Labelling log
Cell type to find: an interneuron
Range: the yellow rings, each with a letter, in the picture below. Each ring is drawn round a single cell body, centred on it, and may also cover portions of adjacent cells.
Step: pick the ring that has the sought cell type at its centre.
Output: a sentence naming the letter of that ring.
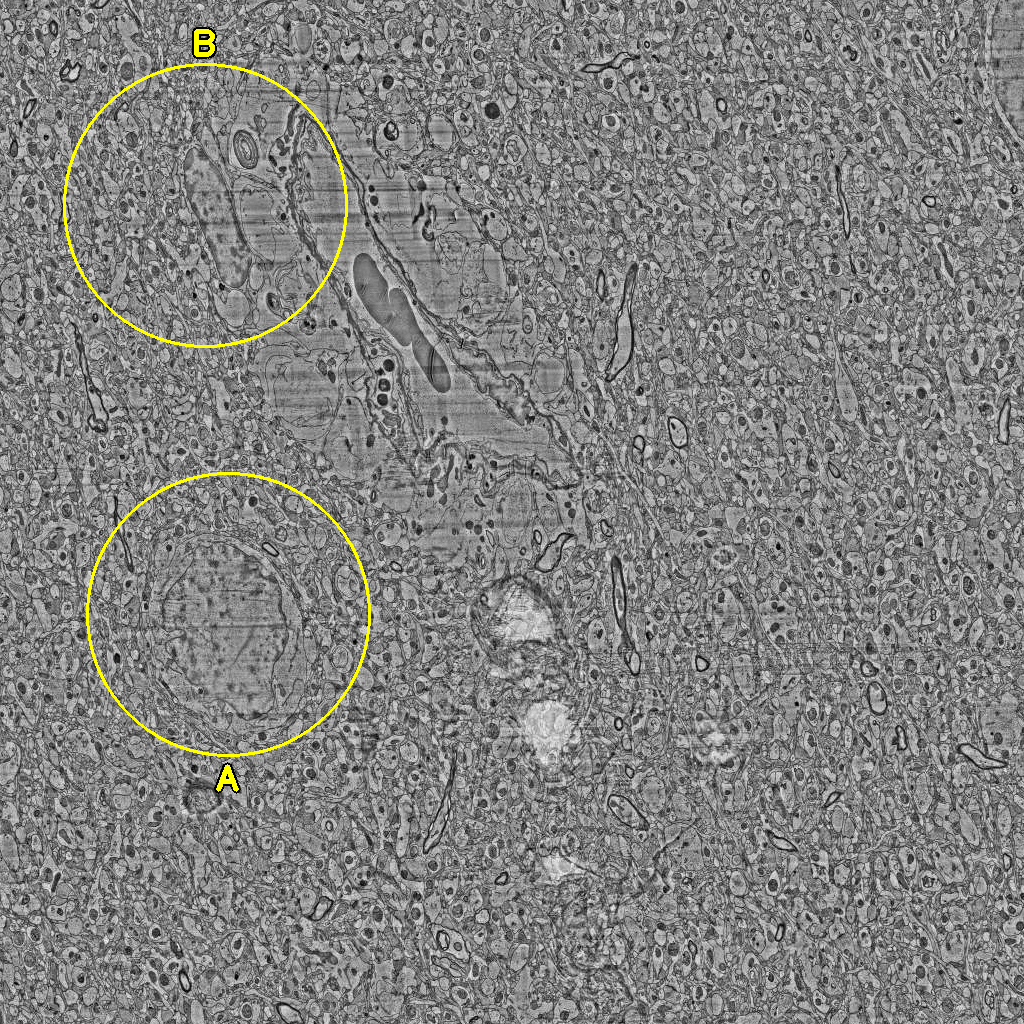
Ring A is the one with the cell asked for at its centre.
